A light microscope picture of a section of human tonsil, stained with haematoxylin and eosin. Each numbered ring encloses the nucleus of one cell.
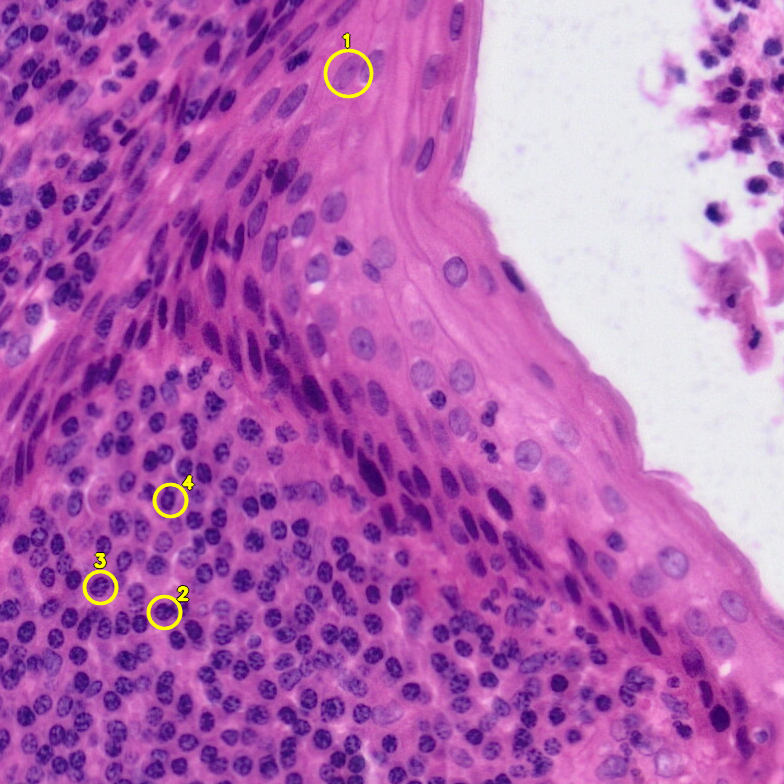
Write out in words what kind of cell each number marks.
Cell 1 is a squamous epithelial cell, cell 2 is a plasma cell, cell 3 is a plasma cell and cell 4 is a plasma cell.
